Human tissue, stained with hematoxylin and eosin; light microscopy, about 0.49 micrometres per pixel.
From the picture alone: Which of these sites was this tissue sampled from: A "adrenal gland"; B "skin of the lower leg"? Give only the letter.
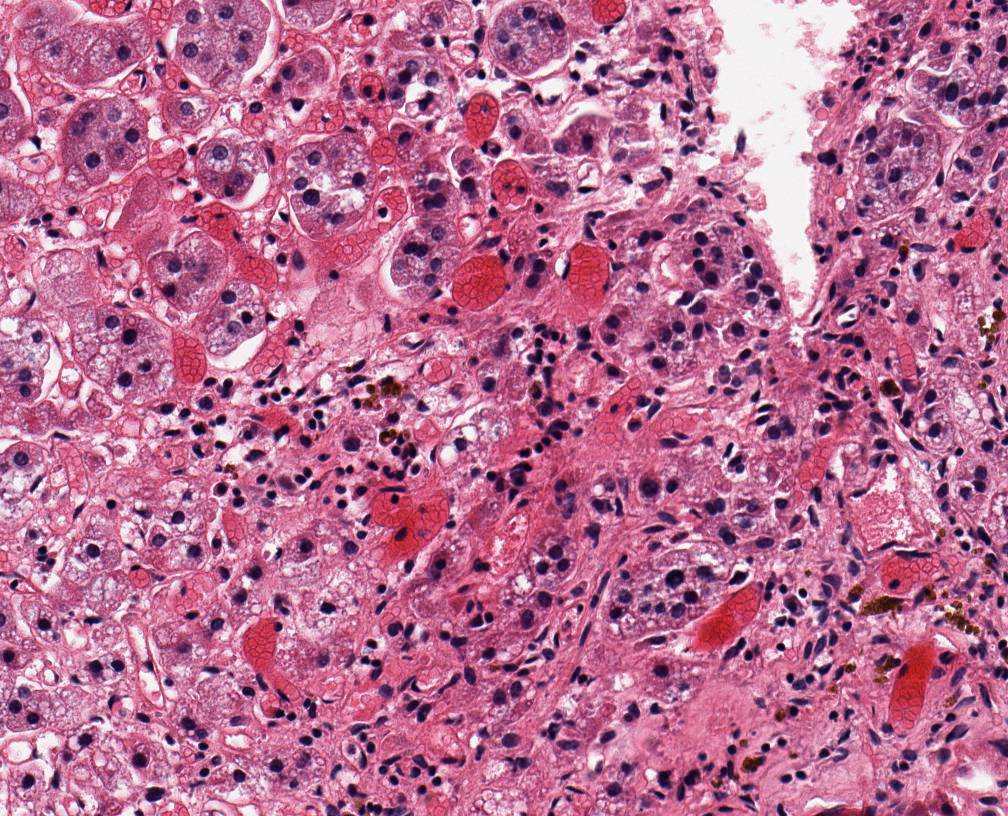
A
